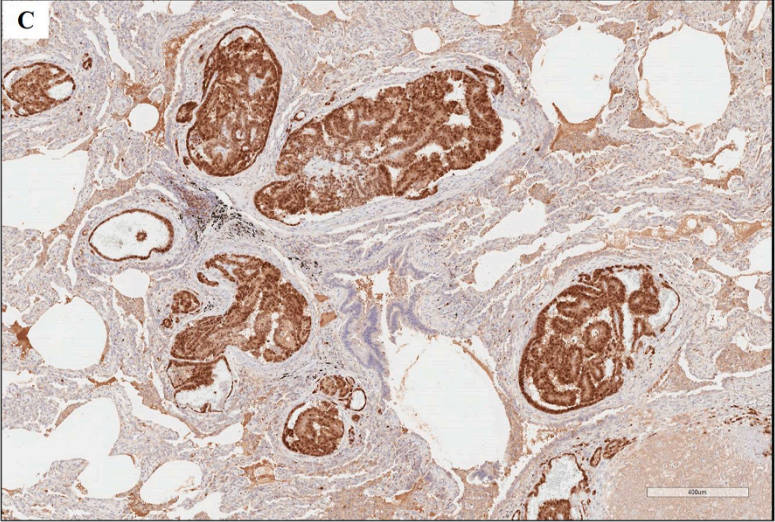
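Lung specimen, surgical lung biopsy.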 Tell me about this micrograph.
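Rounded nests of crowded cells with papillary and gland-like arrangement sit inside small vessels surrounded by pale walls, and these nests stain intensely brown while the alveolar walls and vessel walls around them stay pale. The brown-stained clusters are the tumor cells plugging the arteries.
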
